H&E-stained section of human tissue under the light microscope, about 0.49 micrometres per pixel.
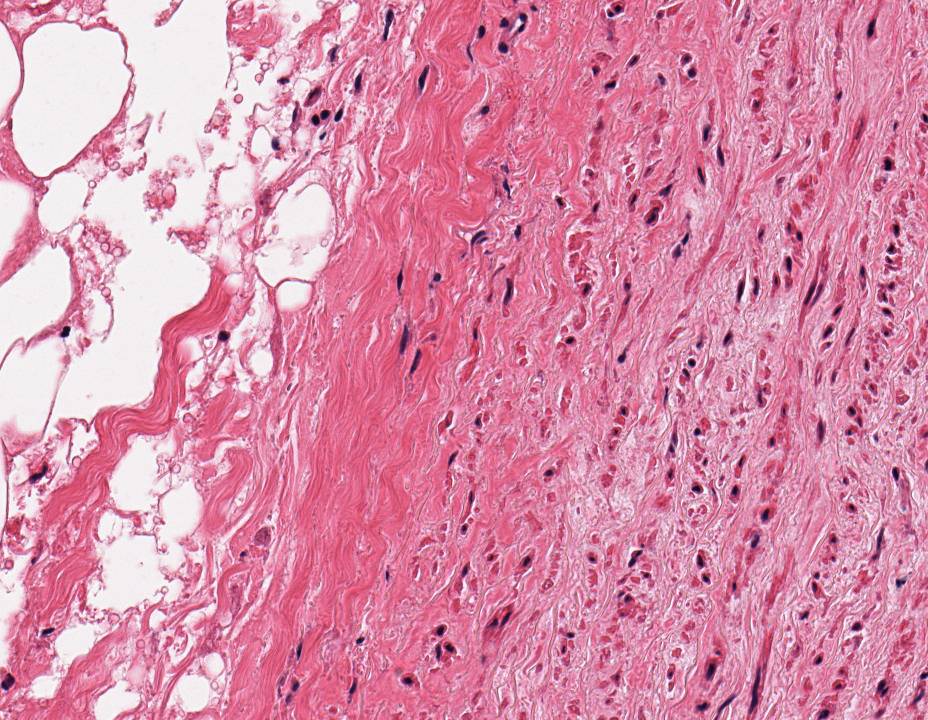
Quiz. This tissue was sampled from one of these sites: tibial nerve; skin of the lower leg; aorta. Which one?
aorta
